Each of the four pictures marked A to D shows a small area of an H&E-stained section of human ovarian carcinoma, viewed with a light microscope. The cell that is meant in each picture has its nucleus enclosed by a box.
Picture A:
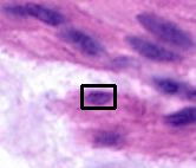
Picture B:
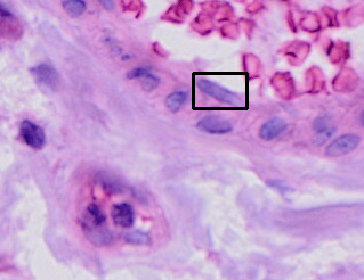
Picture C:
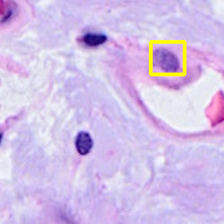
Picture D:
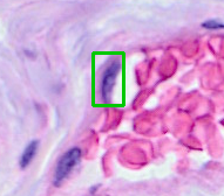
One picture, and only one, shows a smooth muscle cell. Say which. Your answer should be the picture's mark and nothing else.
A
